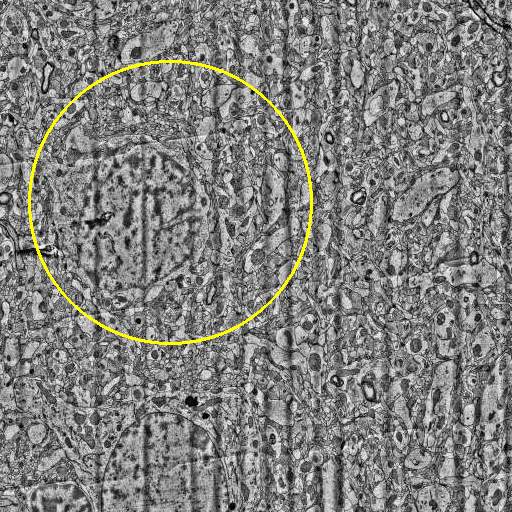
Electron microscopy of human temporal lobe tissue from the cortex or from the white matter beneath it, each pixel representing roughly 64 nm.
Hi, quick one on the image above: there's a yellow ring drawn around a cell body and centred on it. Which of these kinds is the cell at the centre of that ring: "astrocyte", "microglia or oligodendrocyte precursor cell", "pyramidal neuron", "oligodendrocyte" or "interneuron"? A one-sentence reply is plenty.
The cell at the centre of the ring is an interneuron.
